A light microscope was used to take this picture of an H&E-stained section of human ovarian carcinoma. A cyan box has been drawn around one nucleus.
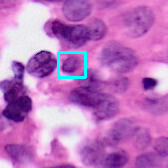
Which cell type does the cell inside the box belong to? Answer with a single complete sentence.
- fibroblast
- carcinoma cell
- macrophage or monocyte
For the purposes of cell typing, the cell inside the box is categorized as a carcinoma cell.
